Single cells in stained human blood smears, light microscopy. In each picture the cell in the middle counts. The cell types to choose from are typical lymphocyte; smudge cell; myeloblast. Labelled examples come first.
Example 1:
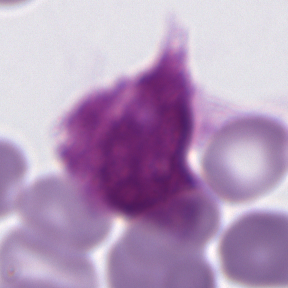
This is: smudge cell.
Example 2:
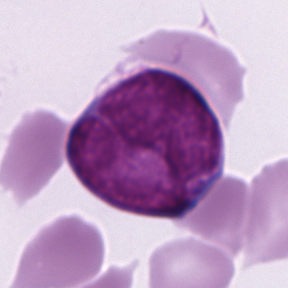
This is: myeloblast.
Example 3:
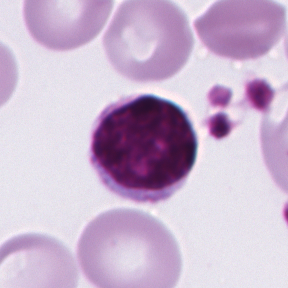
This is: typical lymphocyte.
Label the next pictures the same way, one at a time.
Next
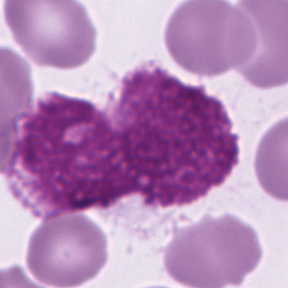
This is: smudge cell.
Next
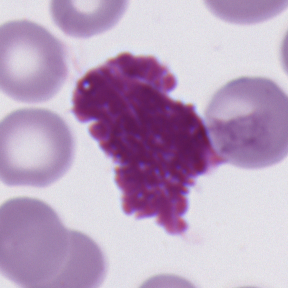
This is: smudge cell.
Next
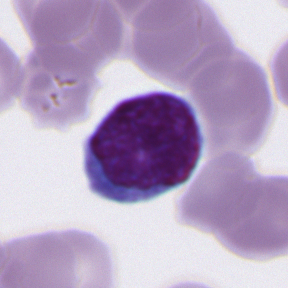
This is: typical lymphocyte.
